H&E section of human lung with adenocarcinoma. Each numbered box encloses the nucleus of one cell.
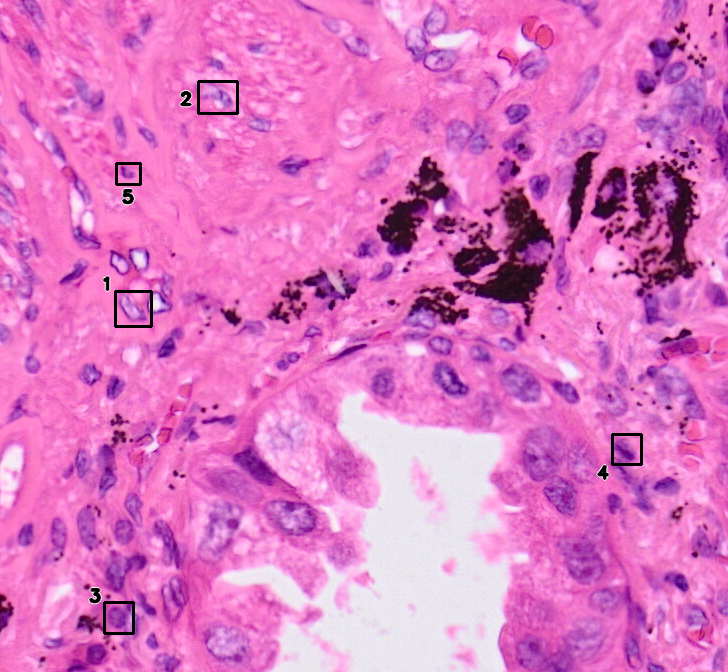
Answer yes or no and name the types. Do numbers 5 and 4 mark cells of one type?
No, cell 5 is a mast cell and cell 4 is a plasma cell.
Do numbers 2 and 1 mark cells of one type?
No, cell 2 is a smooth muscle cell or pericyte and cell 1 is an endothelial cell.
